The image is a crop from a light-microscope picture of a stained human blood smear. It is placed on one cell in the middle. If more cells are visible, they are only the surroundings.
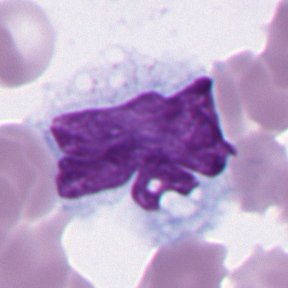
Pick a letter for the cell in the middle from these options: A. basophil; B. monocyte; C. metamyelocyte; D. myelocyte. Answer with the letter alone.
B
